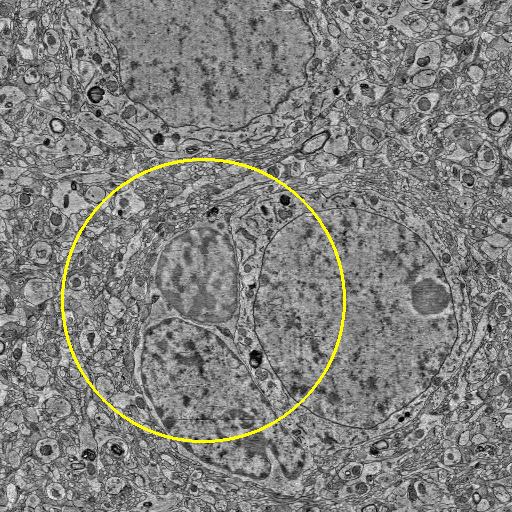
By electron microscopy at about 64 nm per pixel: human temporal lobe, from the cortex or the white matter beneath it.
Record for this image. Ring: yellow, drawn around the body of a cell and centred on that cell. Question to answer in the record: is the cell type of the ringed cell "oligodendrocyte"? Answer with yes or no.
yes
